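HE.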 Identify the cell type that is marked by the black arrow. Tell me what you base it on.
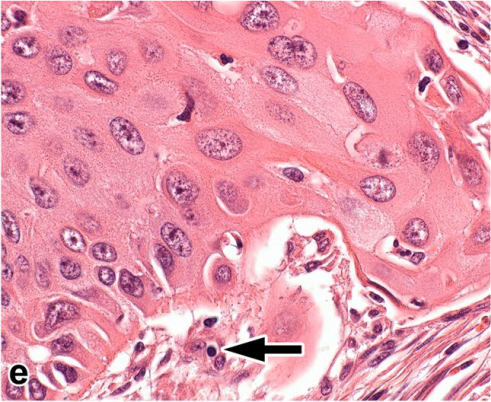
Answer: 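Lymphocytes. The arrow points to a small cell with a round, dark, dense nucleus and scant cytoplasm. It is far smaller than the surrounding tumour nuclei.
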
